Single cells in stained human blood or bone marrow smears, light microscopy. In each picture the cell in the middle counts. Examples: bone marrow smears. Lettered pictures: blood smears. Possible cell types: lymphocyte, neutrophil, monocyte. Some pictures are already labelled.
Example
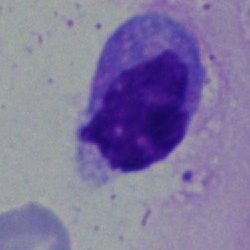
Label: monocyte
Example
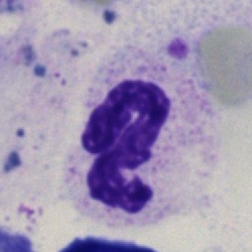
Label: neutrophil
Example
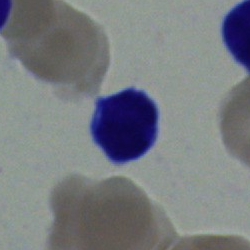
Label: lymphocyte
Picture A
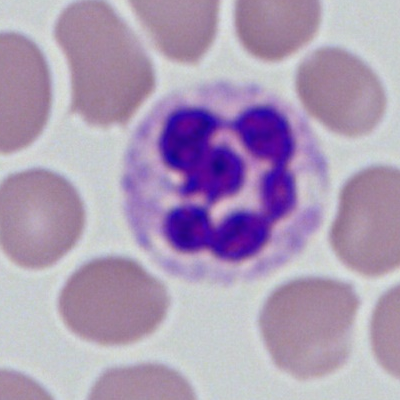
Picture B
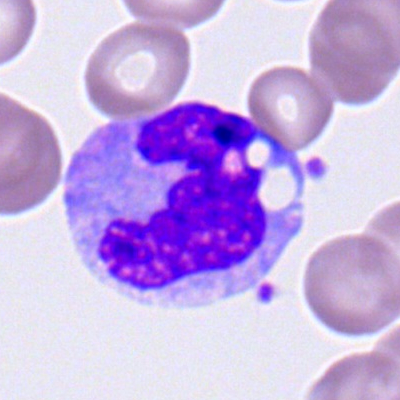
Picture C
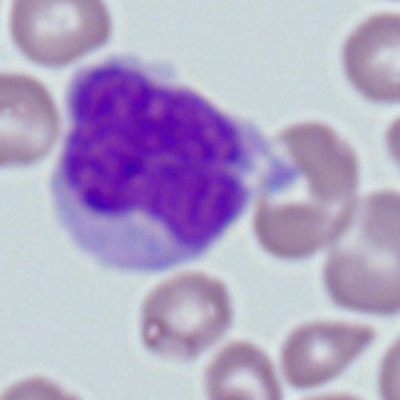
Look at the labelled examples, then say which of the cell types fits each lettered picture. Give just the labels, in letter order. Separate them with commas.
neutrophil, monocyte, monocyte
